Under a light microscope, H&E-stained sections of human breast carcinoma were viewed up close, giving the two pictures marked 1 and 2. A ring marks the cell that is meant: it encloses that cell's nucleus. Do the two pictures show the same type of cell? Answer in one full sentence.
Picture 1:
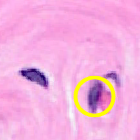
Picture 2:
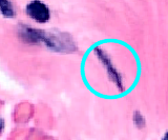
No; the cell in picture 1 is an endothelial cell, while the one in picture 2 is a fibroblast.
